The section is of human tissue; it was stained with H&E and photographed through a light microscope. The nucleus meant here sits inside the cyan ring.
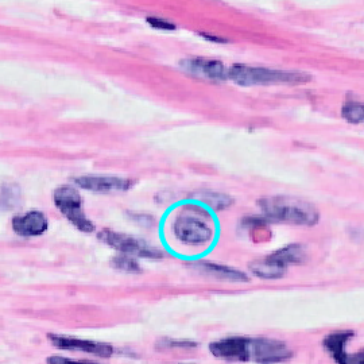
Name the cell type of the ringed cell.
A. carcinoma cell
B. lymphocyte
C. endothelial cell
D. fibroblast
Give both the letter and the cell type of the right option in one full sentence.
Here the ringed cell is an endothelial cell; pick option C.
